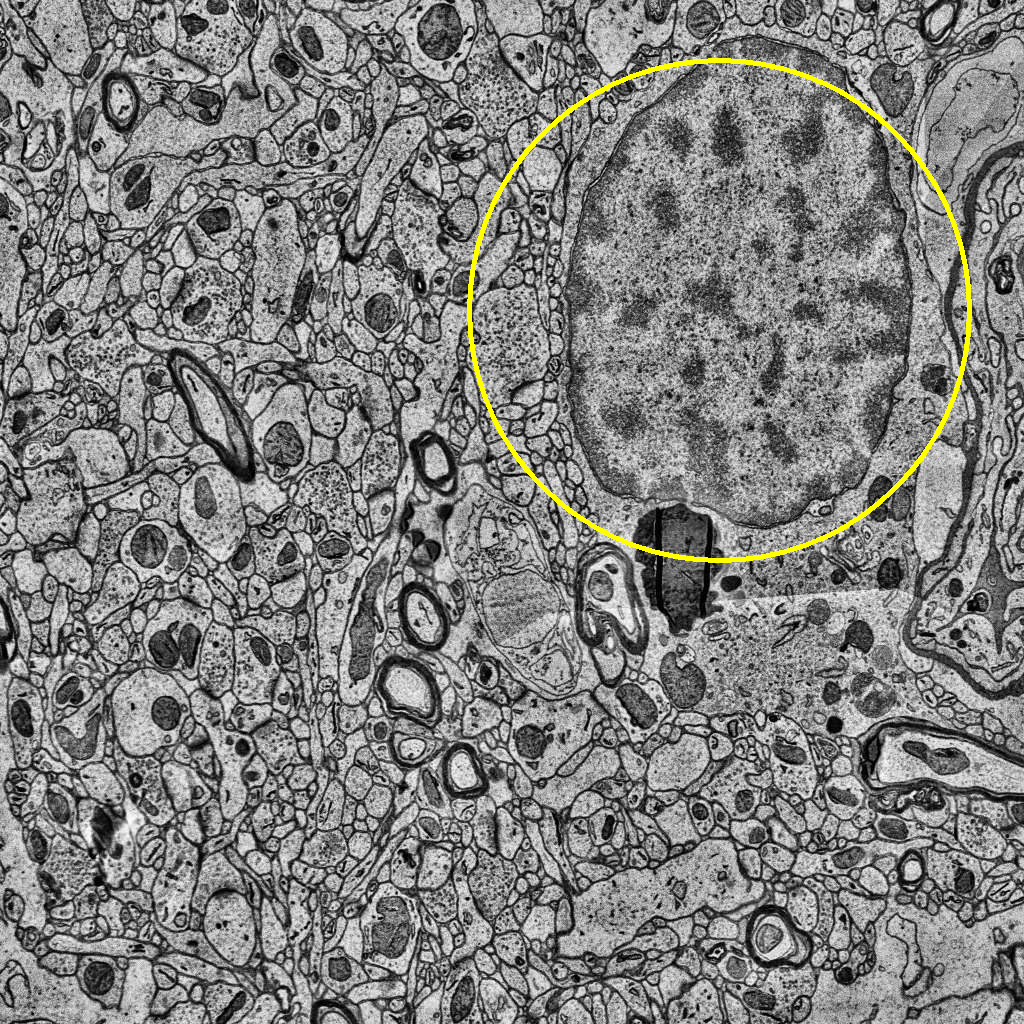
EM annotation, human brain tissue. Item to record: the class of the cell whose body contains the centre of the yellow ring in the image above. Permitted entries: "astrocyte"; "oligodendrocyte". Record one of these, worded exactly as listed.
oligodendrocyte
